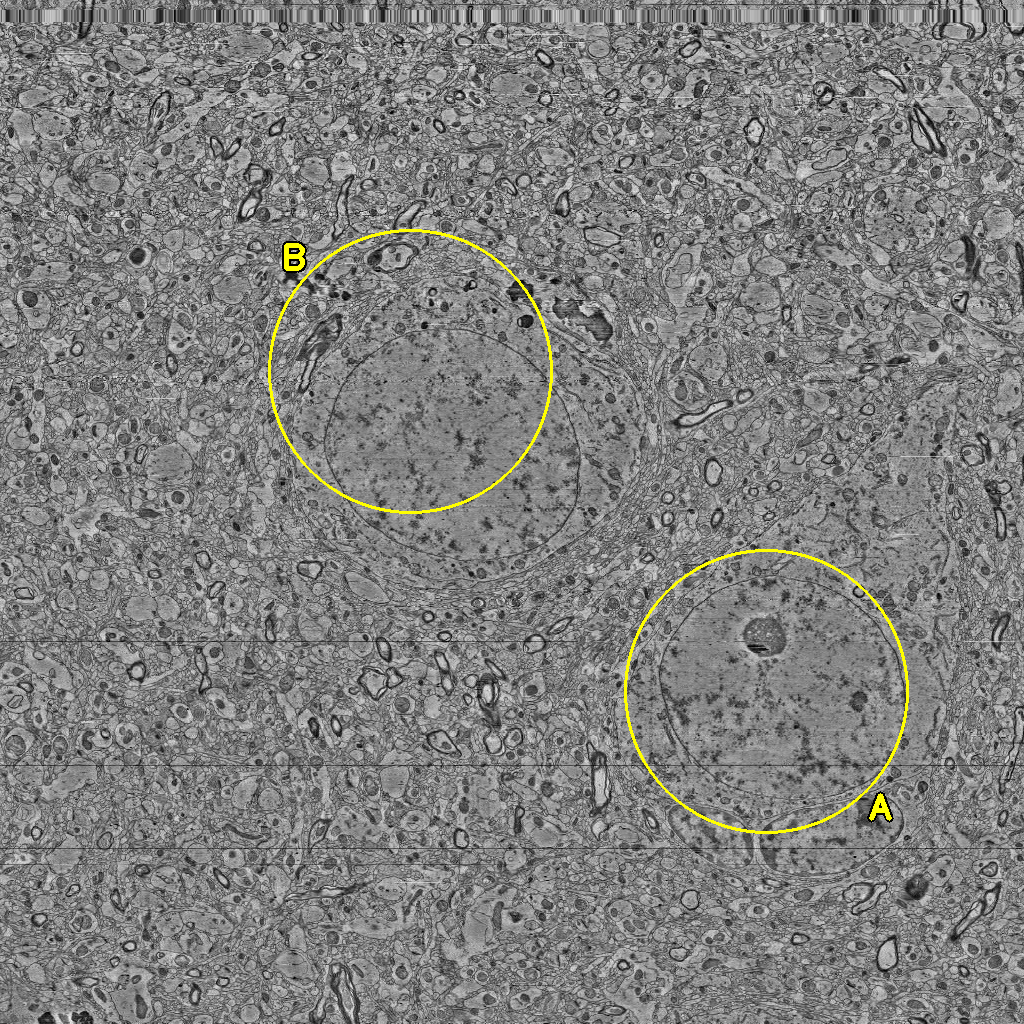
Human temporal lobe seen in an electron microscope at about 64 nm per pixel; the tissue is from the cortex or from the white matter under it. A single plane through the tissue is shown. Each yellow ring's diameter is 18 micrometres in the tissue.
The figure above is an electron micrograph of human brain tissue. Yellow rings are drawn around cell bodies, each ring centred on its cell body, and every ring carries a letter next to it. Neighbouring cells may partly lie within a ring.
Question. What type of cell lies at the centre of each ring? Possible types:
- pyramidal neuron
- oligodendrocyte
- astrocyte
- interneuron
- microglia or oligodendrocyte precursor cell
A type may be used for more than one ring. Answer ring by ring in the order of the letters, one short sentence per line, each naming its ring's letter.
In ring A, the central cell is a pyramidal neuron.
In ring B, the central cell is a pyramidal neuron.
